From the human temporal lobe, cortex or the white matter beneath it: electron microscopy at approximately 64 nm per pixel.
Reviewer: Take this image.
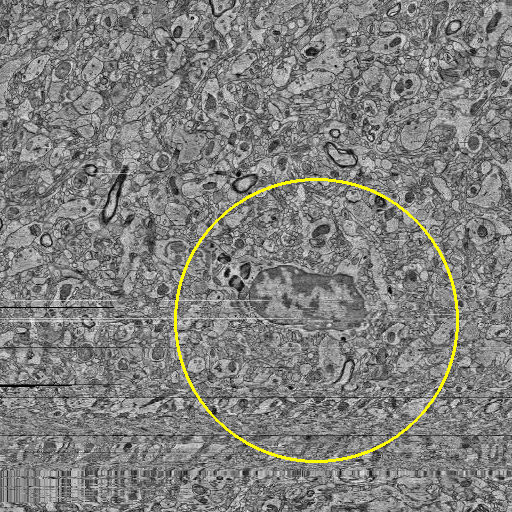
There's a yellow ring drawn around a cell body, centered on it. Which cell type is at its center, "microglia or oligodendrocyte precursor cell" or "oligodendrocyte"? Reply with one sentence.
At the center of the yellow ring is a microglial cell or oligodendrocyte precursor cell.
